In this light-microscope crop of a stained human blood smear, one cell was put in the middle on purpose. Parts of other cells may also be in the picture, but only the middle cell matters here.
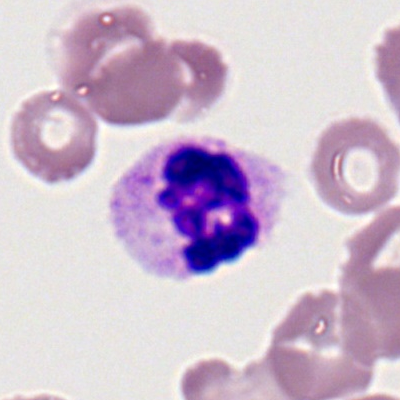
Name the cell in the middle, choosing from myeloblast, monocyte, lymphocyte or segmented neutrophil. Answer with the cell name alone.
segmented neutrophil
